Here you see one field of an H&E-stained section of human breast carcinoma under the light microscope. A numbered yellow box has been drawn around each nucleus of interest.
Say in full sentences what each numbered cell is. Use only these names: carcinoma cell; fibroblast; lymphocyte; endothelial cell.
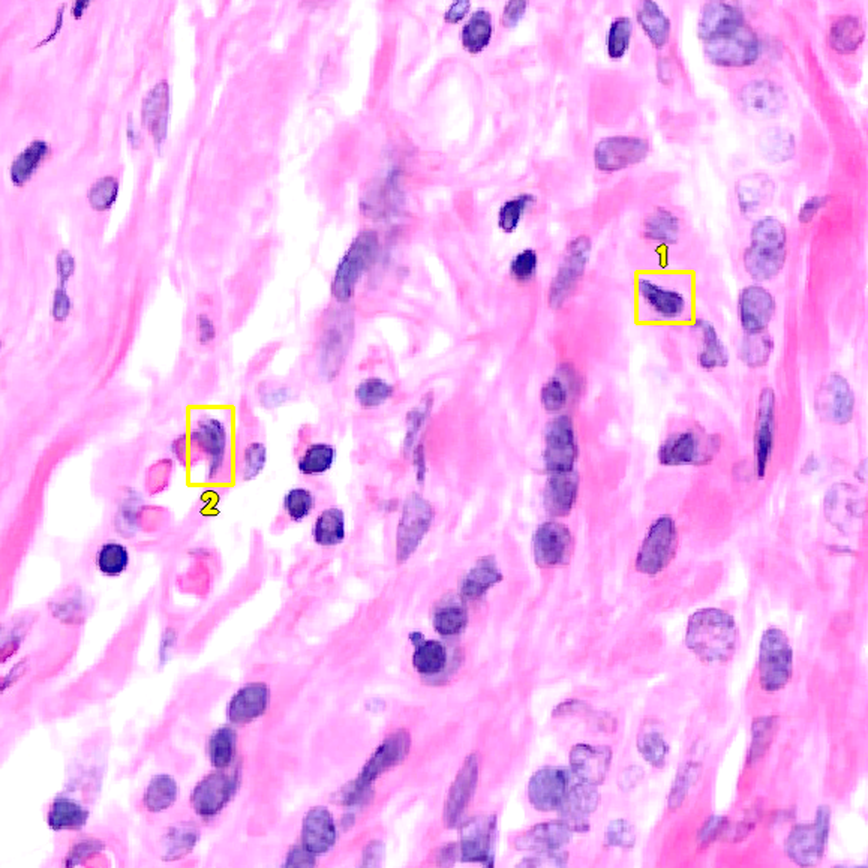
Cell 1 is a lymphocyte. Cell 2 is an endothelial cell.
